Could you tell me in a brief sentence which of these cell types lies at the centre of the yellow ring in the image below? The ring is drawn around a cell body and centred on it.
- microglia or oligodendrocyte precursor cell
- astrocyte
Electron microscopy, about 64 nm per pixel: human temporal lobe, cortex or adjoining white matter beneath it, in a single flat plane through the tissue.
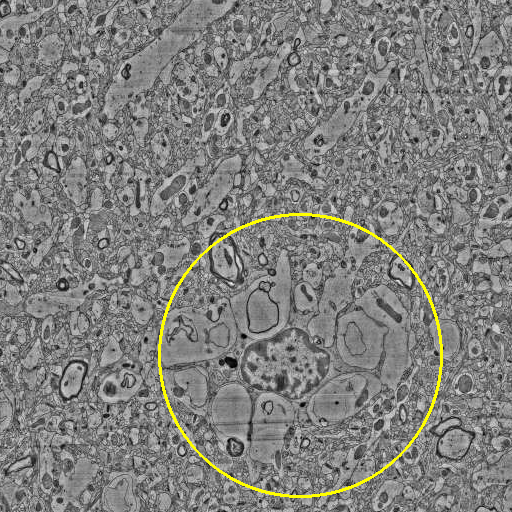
The cell centred in the ring is a microglial cell or oligodendrocyte precursor cell.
